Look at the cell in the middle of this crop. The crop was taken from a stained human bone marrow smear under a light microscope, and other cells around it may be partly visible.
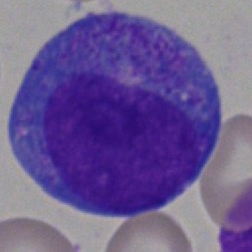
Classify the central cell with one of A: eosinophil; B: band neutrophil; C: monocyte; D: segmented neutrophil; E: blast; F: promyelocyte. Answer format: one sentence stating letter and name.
Option F holds up: the cell in the middle is a promyelocyte.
